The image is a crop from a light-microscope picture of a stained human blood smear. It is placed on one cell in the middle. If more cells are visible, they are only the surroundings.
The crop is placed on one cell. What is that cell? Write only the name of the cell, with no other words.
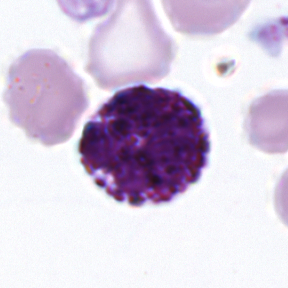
basophil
